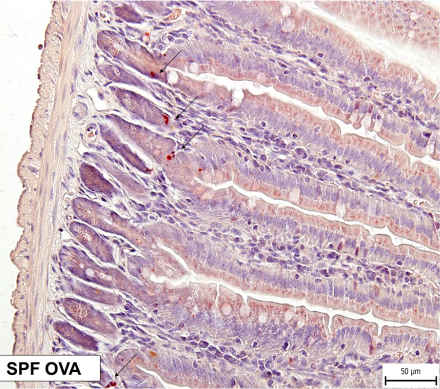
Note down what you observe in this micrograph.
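Section of small intestinal wall with muscle layer at the left, a row of crypts, and long villi covered by columnar epithelium with purple nuclei. The villus cores are largely free of red-stained cells.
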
